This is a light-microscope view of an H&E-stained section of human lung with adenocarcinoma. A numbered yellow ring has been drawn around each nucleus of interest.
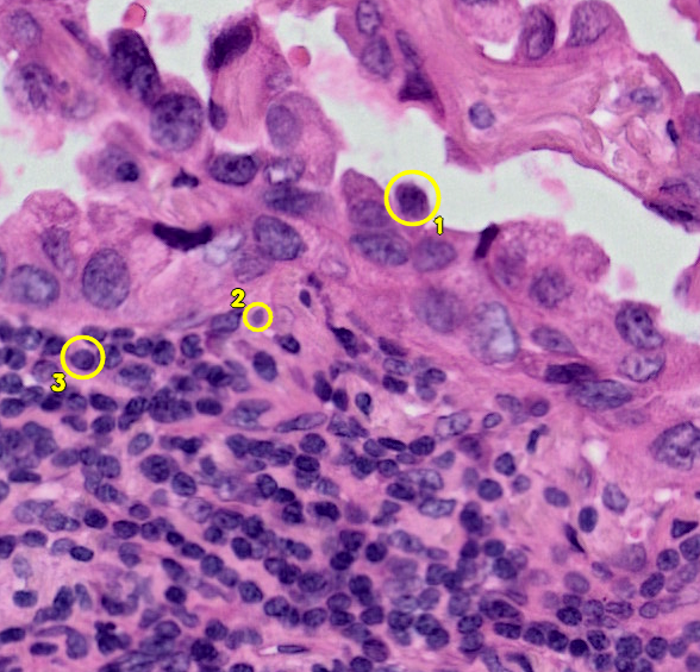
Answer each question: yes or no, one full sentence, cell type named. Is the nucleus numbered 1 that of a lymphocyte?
No, cell 1 is a carcinoma cell; it is not a lymphocyte.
